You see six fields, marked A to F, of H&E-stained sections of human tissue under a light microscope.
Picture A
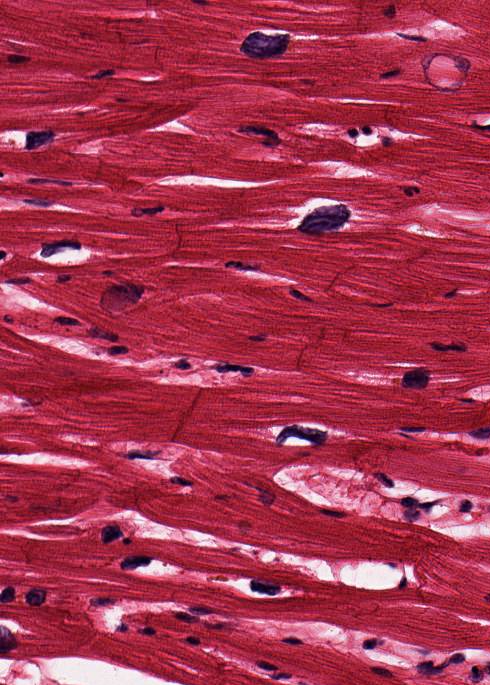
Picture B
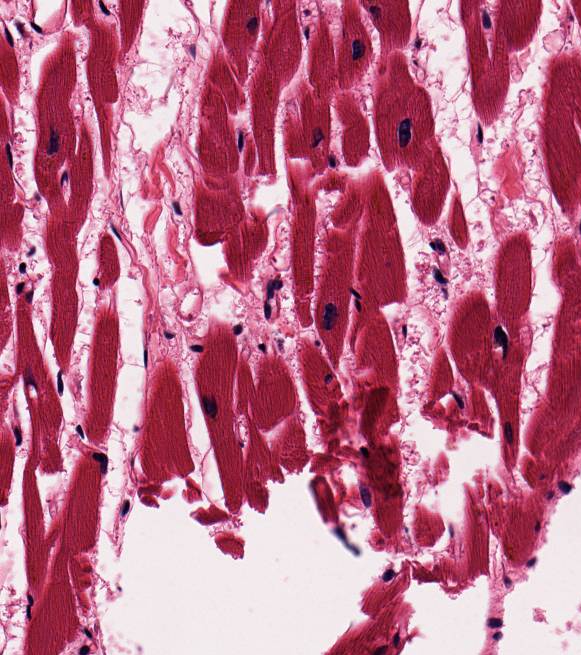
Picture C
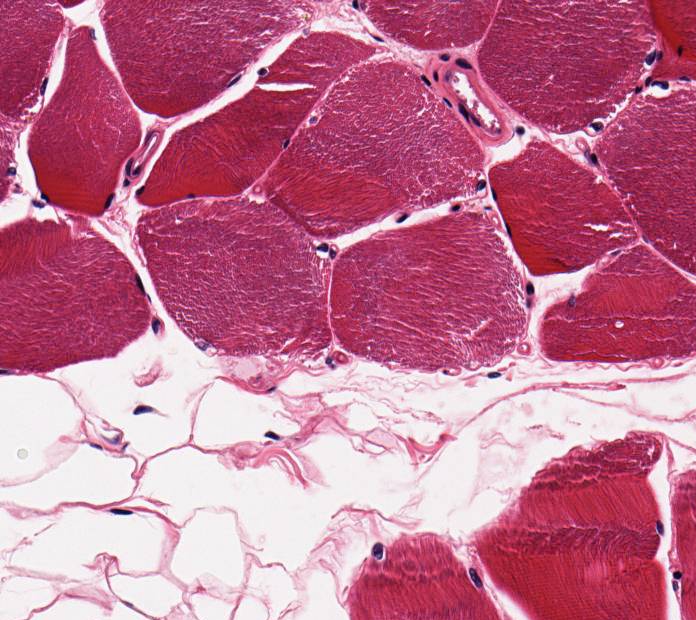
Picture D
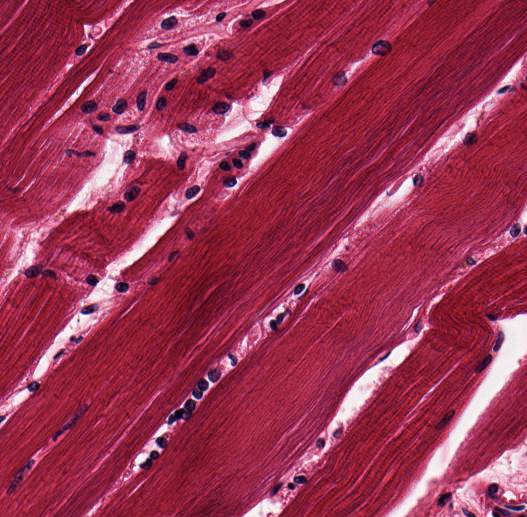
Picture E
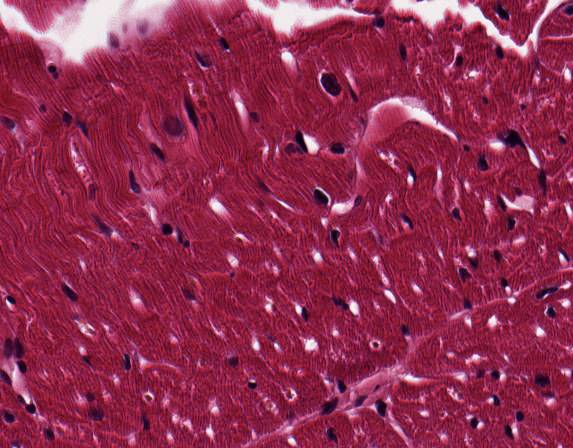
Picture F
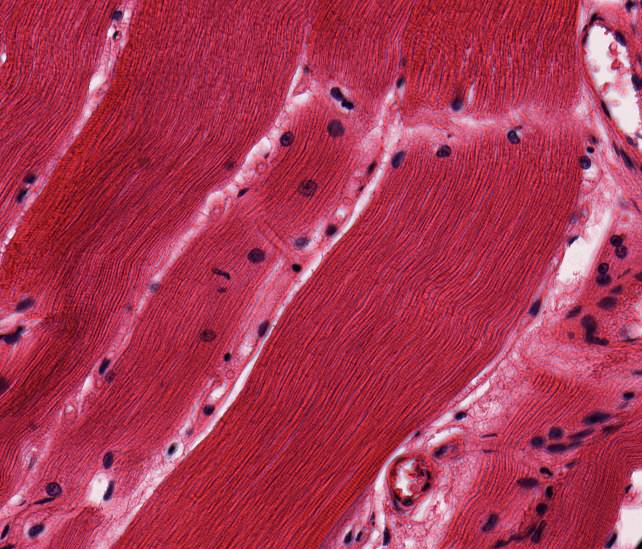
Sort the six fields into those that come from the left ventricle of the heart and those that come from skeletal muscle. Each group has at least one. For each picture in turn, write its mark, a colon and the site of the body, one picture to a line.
A: left ventricle of the heart
B: left ventricle of the heart
C: skeletal muscle
D: skeletal muscle
E: left ventricle of the heart
F: skeletal muscle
